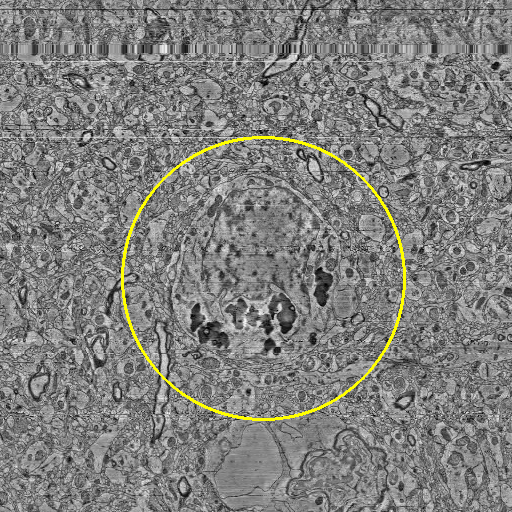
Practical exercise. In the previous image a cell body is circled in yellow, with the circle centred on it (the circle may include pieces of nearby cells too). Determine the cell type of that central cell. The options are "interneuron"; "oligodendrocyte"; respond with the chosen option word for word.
interneuron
